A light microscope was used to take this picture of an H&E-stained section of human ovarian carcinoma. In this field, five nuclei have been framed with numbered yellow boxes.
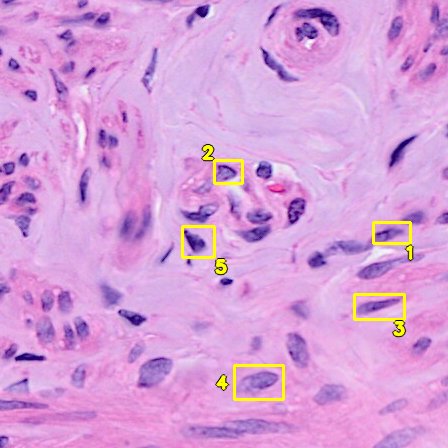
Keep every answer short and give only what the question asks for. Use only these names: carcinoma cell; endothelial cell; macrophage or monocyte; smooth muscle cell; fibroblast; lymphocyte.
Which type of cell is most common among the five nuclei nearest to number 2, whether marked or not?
endothelial cell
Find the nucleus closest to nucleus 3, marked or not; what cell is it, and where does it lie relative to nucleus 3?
a smooth muscle cell; above nucleus 3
